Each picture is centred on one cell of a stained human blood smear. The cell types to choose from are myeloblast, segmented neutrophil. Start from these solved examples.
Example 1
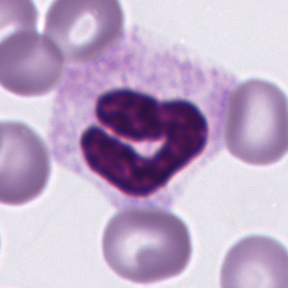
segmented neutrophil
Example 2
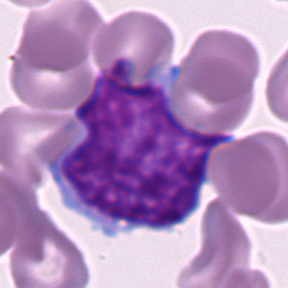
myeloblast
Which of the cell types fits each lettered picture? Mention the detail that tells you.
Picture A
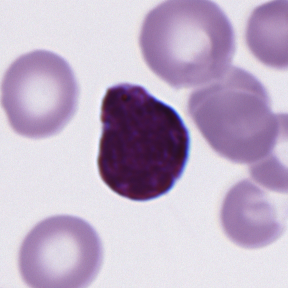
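Label: myeloblast. Cytoplasm shows only as a very thin pale blue rim along the right edge.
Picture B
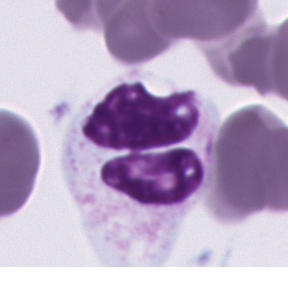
Label: segmented neutrophil. The cytoplasm is abundant and very pale, almost colourless.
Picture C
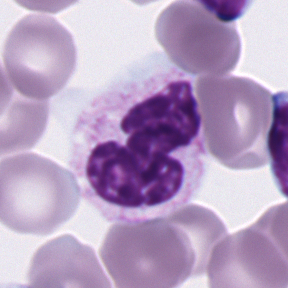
Label: segmented neutrophil. The nucleus is divided into several lobes joined together.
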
